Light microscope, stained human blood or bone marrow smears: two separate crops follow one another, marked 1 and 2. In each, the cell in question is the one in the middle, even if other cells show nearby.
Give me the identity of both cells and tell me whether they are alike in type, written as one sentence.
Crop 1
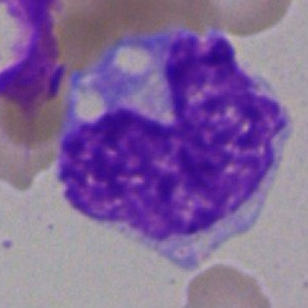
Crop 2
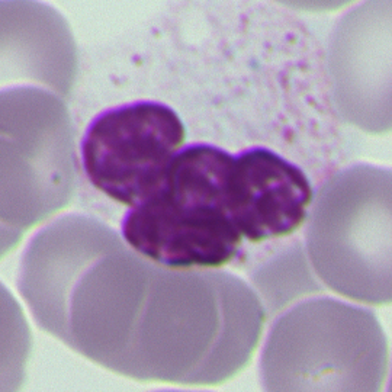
No, it is a monocyte in crop 1 and a segmented neutrophil in crop 2.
